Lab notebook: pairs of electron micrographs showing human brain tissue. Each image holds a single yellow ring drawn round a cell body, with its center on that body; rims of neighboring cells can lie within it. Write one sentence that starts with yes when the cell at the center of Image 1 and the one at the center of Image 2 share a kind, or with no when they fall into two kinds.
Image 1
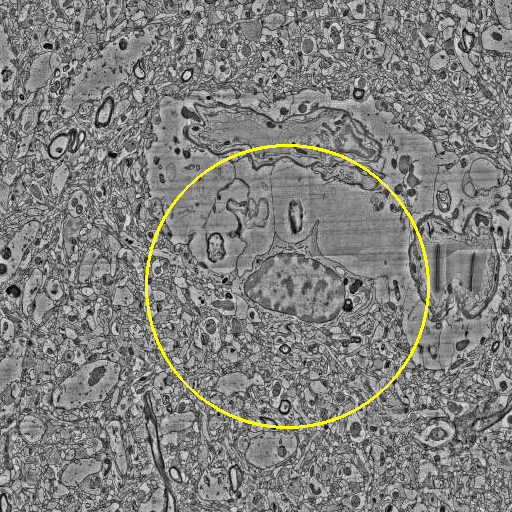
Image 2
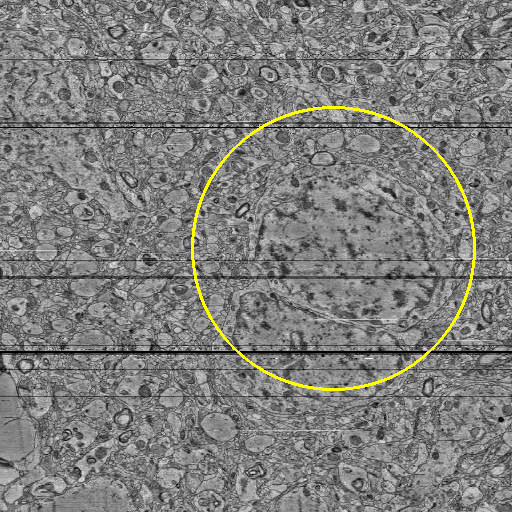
No, the centered cell in Image 1 and the centered cell in Image 2 are of two kinds.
